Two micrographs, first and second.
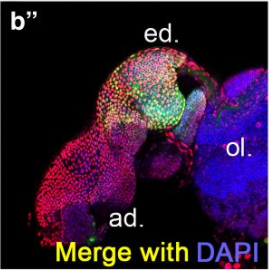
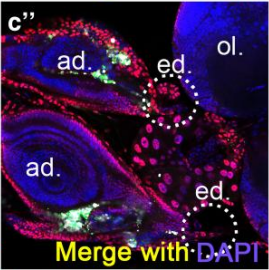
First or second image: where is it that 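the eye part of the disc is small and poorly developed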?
the second image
